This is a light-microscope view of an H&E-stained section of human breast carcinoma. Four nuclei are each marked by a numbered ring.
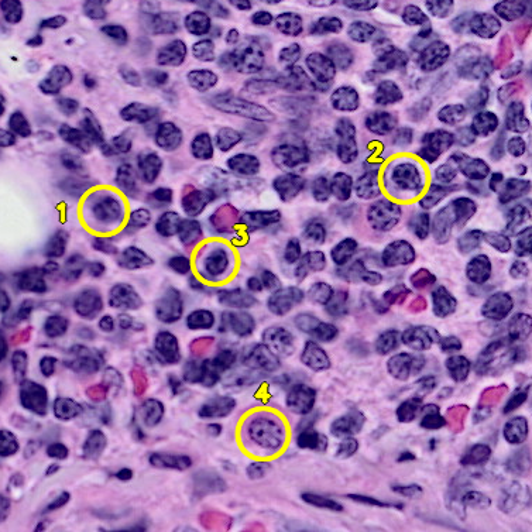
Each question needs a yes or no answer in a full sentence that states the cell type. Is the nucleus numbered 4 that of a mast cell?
Yes, exactly, the cell numbered 4 is a mast cell.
